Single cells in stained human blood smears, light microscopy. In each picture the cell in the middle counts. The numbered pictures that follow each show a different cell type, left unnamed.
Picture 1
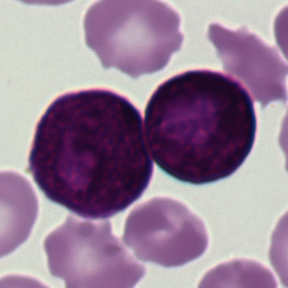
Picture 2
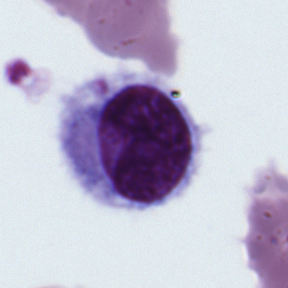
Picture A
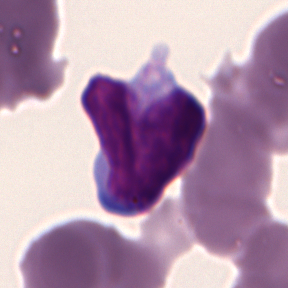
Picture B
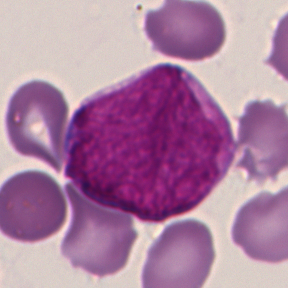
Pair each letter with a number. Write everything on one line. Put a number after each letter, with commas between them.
A 1, B 1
